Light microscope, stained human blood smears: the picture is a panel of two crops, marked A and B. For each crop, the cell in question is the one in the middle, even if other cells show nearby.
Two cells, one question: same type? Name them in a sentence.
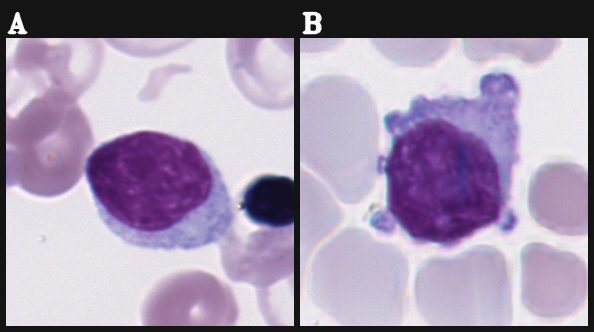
No, the cell at the middle of crop A is a typical lymphocyte, while crop B centres on a plasma cell.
